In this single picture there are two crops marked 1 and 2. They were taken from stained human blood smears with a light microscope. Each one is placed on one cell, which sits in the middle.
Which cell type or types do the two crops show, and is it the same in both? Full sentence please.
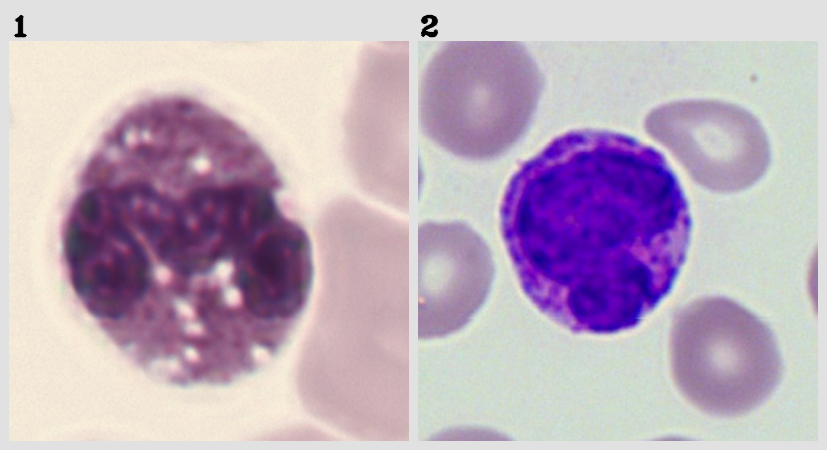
No, sorry, crop 1 shows an eosinophil and crop 2 shows a basophil.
